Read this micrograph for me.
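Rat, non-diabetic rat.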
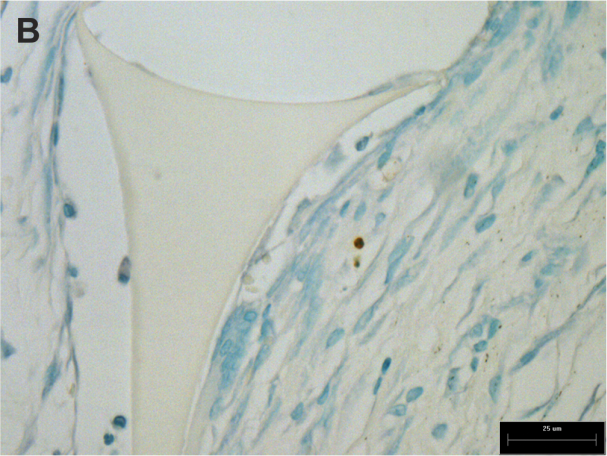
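The cells are spindle-shaped, packed in streams running diagonally across the right half of the field. A single small, round nucleus stained dark brown sits among these cells, smaller and more compact than the neighbouring nuclei. Along the left edge a thin strip of tissue with a few flattened nuclei borders the space.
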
